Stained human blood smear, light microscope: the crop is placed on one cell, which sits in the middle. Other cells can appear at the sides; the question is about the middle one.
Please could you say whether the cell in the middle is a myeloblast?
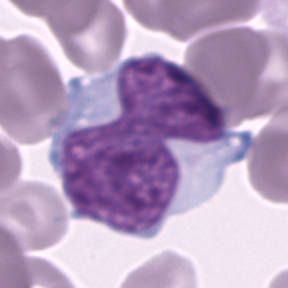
yes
